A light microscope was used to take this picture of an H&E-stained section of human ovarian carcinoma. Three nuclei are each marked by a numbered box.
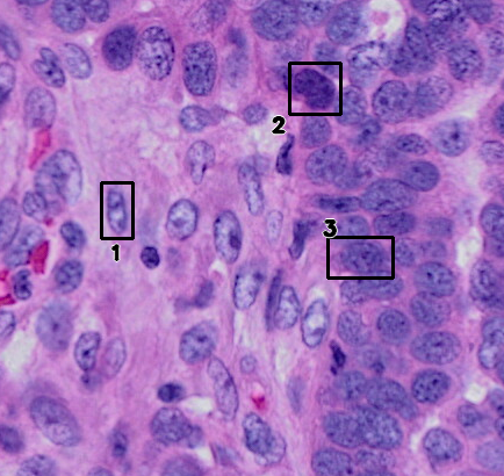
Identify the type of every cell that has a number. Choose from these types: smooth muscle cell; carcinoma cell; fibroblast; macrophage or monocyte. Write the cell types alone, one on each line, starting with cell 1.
fibroblast
carcinoma cell
carcinoma cell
